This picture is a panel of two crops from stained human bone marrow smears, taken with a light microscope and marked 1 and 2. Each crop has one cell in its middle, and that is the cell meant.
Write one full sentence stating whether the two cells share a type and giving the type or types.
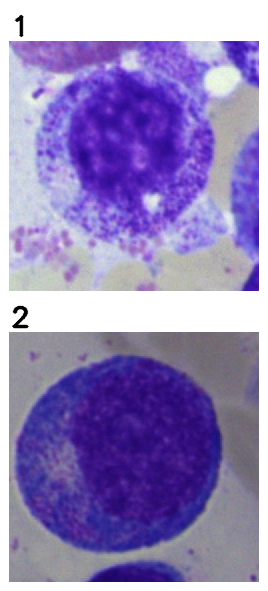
Yes, the cells centred in the two crops are both promyelocytes.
